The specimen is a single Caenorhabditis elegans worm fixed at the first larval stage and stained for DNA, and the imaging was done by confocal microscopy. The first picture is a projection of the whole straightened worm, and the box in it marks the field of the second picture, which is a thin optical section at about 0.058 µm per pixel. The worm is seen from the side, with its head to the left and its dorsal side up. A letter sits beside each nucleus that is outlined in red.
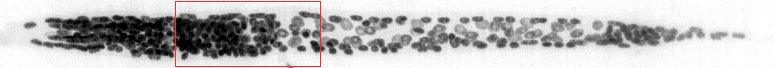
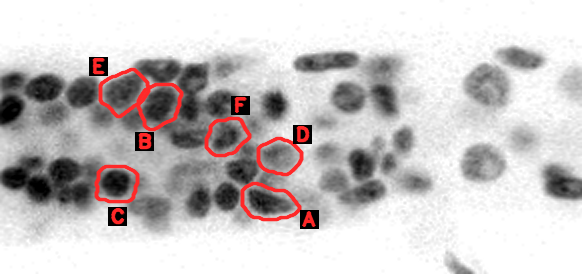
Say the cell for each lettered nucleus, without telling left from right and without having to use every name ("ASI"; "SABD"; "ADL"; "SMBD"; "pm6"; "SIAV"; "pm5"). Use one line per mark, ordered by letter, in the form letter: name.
A: SABD
B: ASI
C: SIAV
D: pm6
E: ADL
F: pm5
